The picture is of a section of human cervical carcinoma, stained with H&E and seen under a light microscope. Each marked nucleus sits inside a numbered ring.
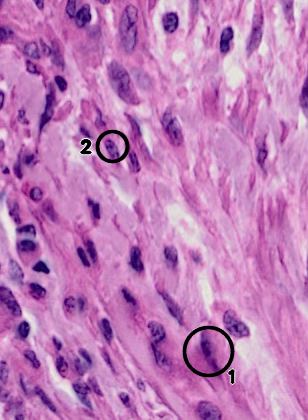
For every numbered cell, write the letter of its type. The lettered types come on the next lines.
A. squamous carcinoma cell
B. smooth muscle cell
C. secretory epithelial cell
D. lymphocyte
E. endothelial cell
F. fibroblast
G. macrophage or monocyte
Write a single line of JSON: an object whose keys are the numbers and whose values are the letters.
{"1": "G", "2": "F"}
